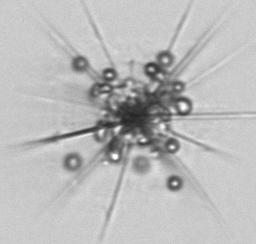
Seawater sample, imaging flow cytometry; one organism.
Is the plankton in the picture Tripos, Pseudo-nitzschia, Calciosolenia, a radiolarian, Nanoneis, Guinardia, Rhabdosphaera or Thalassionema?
It is a radiolarian.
